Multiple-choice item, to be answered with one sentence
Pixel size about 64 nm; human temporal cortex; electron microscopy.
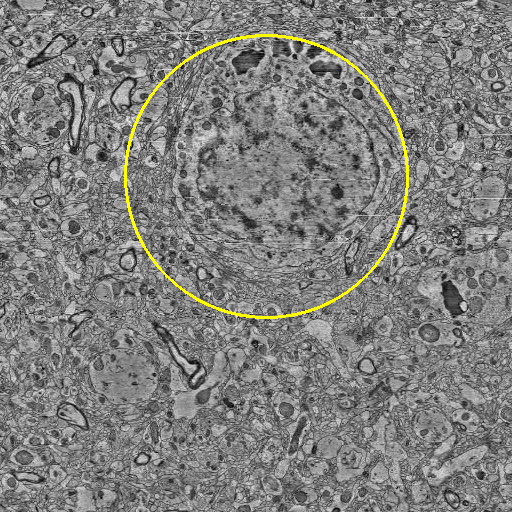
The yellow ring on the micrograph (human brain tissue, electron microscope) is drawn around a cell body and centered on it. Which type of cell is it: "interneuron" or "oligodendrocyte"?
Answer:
The ring is centered on an interneuron.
